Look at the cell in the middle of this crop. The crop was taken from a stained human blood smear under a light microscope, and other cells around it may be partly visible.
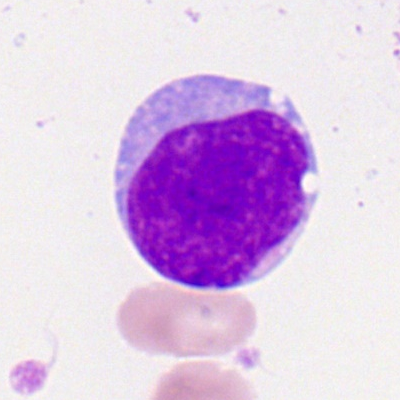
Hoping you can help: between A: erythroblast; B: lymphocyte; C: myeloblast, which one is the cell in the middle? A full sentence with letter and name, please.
The cell at the centre, correctly named in option C, is a myeloblast.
